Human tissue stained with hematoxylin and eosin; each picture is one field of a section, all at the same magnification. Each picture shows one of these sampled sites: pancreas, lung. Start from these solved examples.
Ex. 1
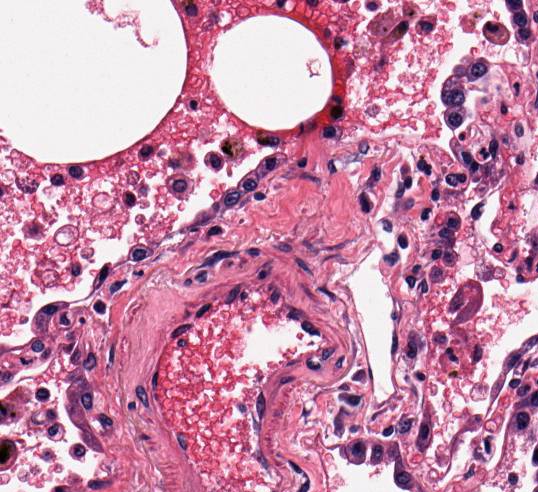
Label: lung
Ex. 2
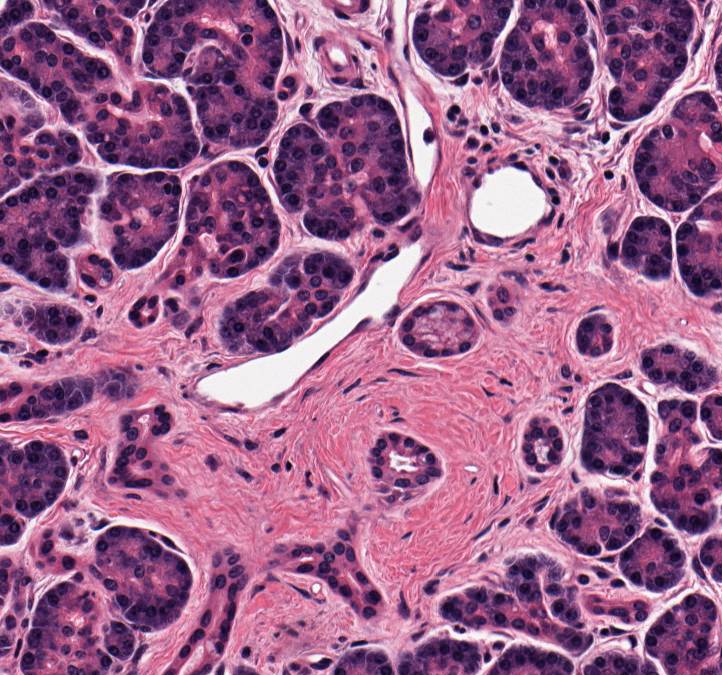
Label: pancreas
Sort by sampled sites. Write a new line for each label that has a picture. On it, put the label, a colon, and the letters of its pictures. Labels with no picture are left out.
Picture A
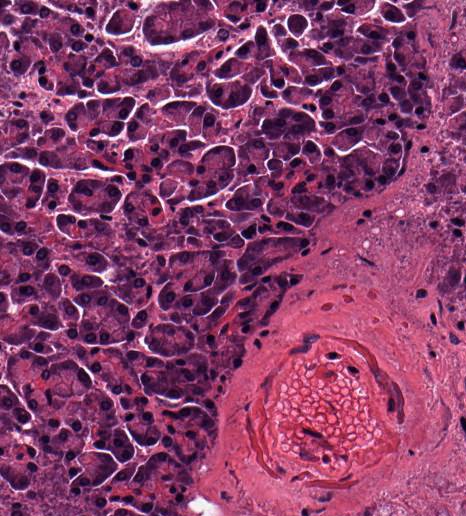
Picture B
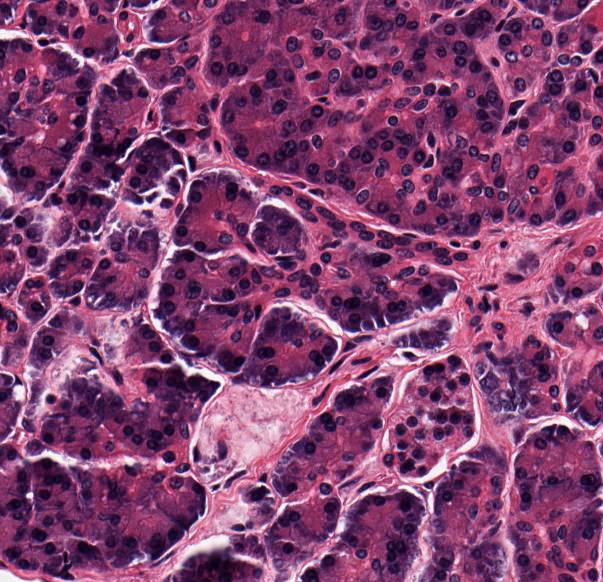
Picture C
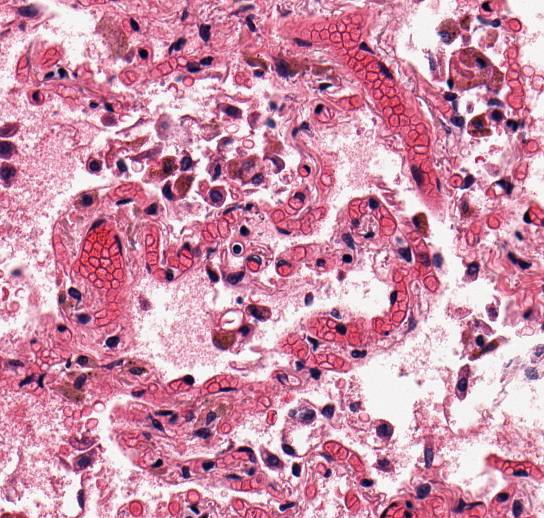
pancreas: A, B
lung: C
